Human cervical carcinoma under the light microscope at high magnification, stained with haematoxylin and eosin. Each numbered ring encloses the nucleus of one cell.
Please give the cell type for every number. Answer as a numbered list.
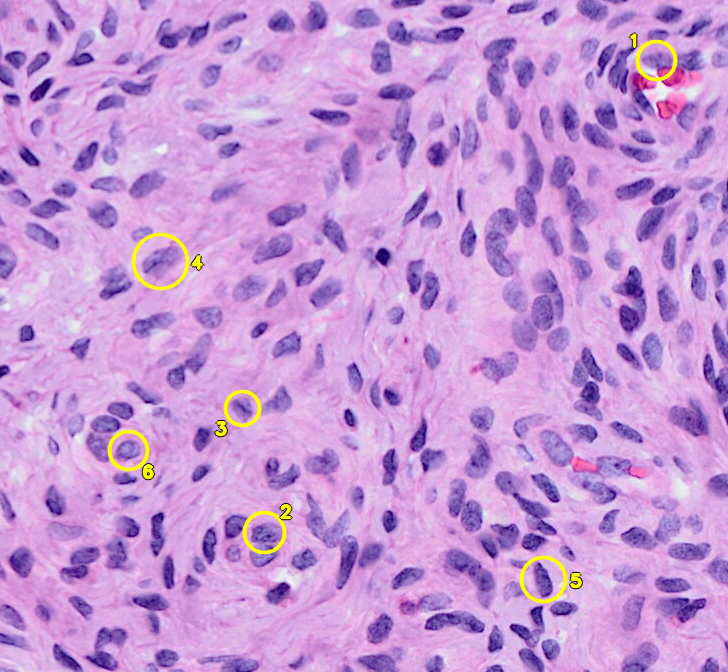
1. endothelial cell
2. endothelial cell
3. fibroblast
4. fibroblast
5. fibroblast
6. endothelial cell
